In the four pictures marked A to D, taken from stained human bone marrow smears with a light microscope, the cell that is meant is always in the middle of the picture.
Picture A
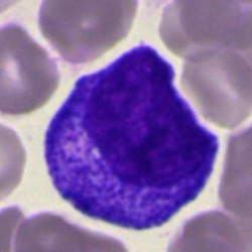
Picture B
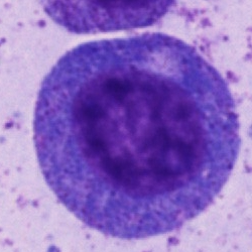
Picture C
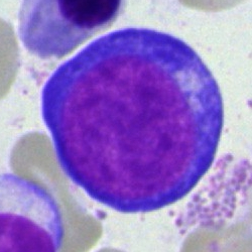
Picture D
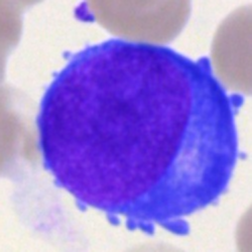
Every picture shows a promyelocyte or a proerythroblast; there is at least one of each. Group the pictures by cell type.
A: promyelocyte
B: promyelocyte
C: proerythroblast
D: proerythroblast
